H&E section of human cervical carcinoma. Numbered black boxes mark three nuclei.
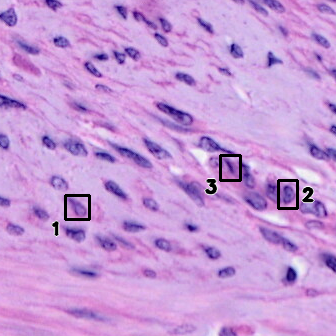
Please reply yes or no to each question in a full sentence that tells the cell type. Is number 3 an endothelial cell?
Yes, number 3 is assigned to a cell that is an endothelial cell.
